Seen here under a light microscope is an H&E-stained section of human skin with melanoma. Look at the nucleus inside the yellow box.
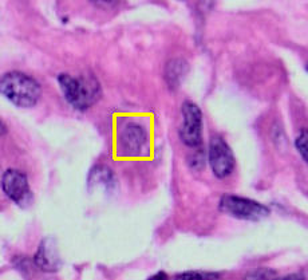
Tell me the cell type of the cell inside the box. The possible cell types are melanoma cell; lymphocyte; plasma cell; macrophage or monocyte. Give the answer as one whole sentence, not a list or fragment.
The cell type represented by the cell inside the box is that of a melanoma cell.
